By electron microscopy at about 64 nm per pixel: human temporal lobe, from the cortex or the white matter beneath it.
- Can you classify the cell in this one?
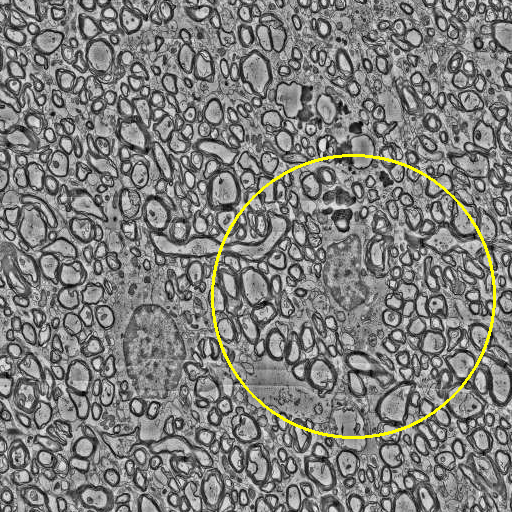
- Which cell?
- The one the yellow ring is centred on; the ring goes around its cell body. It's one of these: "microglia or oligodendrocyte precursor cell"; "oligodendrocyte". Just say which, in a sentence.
The cell body in the ring belongs to an oligodendrocyte.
